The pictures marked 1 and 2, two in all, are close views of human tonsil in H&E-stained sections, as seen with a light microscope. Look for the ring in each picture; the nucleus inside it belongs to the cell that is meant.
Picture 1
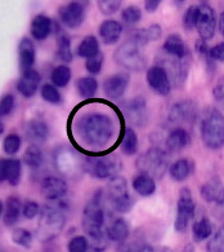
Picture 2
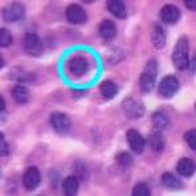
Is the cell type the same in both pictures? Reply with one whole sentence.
No. Picture 1 shows a proliferating B cell, but picture 2 shows a plasma cell.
